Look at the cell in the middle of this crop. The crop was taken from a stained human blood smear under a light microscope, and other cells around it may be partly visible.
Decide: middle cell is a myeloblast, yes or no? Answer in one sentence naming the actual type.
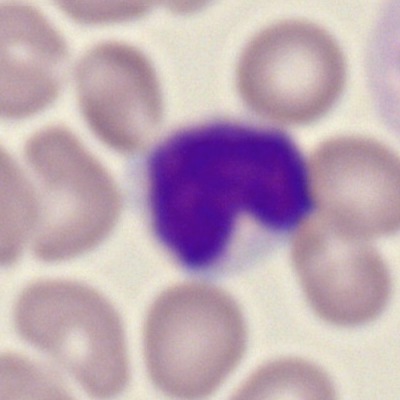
No, the cell in the centre of the crop is a lymphocyte as opposed to a myeloblast.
